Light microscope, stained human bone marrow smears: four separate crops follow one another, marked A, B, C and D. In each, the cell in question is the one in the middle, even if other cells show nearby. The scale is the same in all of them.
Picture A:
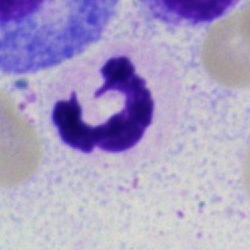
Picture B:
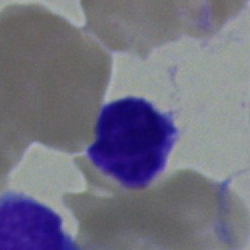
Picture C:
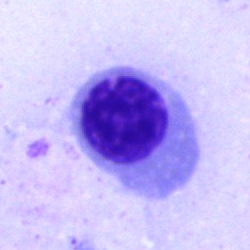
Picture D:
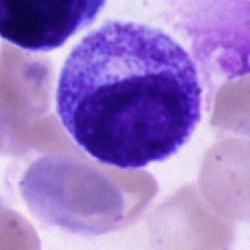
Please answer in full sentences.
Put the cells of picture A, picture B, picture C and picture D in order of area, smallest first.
The order is B, A, C, D, beginning with the smallest.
